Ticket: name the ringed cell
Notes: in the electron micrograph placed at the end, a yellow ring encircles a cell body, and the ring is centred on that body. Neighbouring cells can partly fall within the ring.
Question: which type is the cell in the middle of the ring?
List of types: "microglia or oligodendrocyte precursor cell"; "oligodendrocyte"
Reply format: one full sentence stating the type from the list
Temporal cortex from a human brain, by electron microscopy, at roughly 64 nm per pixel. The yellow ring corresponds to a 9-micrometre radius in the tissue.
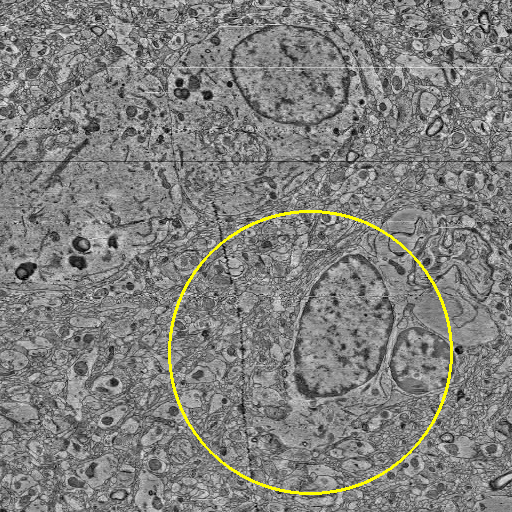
The cell sitting at the centre of the yellow ring is a microglial cell or oligodendrocyte precursor cell.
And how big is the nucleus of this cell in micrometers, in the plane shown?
In this plane, approximately 9 by 6 micrometers, and clearly longer than it is wide.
